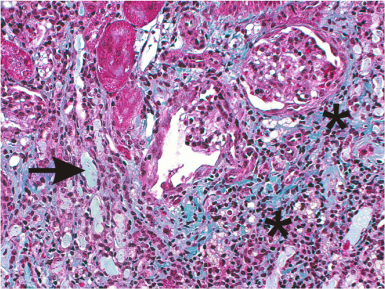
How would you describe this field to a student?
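Kidney cortex with a glomerulus and scattered tubules widely separated by an expanded interstitium containing abundant blue-green fibrous material and densely packed small dark nuclei, consistent with inflammatory infiltration and fibrosis. Remaining tubules have pink-magenta epithelium, while several tubule lumens are filled with pale blue casts or debris.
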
